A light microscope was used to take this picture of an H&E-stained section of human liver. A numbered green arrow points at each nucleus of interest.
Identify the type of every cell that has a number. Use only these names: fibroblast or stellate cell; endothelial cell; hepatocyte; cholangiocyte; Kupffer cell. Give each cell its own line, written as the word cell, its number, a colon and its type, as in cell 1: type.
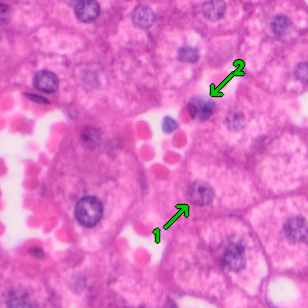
cell 1: hepatocyte
cell 2: endothelial cell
